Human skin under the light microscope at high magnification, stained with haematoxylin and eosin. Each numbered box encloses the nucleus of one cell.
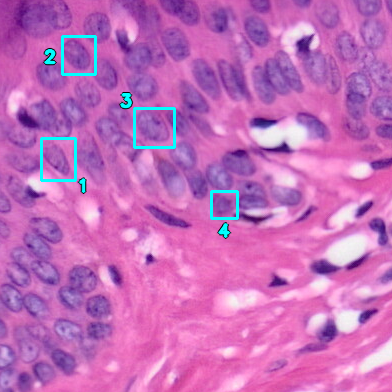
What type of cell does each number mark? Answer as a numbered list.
1. basal keratinocyte
2. suprabasal keratinocyte
3. basal keratinocyte
4. basal keratinocyte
